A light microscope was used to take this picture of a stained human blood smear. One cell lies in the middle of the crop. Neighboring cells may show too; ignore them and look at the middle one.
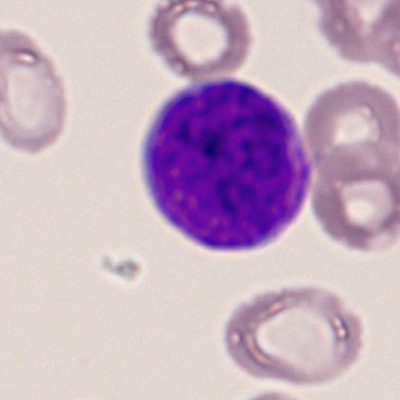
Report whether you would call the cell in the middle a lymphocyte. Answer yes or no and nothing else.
no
